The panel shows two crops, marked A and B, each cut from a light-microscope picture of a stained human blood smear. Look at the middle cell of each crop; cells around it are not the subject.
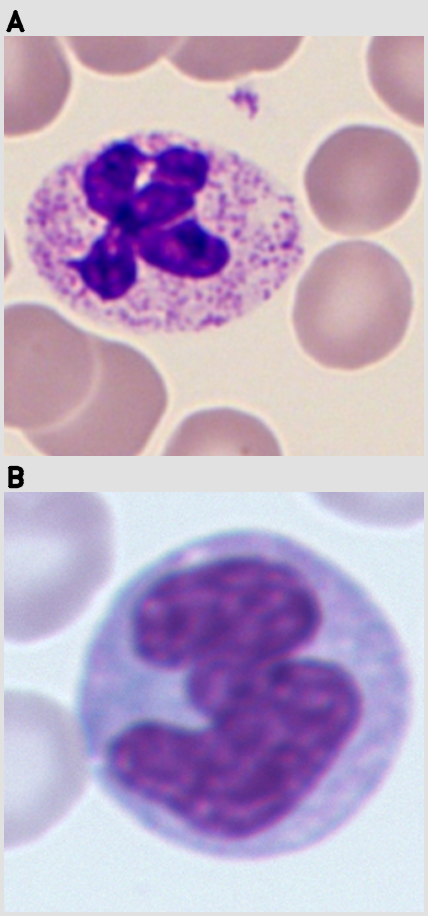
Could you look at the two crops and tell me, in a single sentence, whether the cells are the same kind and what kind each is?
No, the cell at the middle of crop A is a segmented neutrophil, while crop B centres on a monocyte.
